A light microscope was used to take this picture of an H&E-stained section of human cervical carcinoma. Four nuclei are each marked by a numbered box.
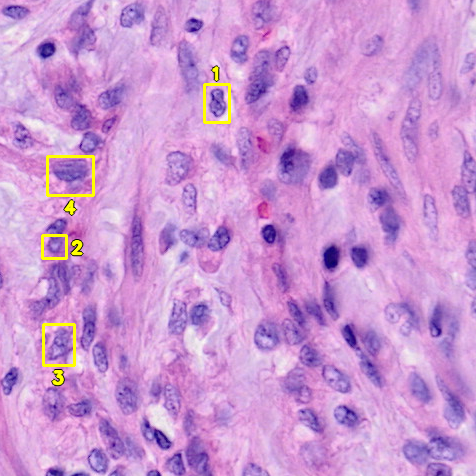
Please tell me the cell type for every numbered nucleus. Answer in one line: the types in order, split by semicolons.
lymphocyte; endothelial cell; endothelial cell; endothelial cell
